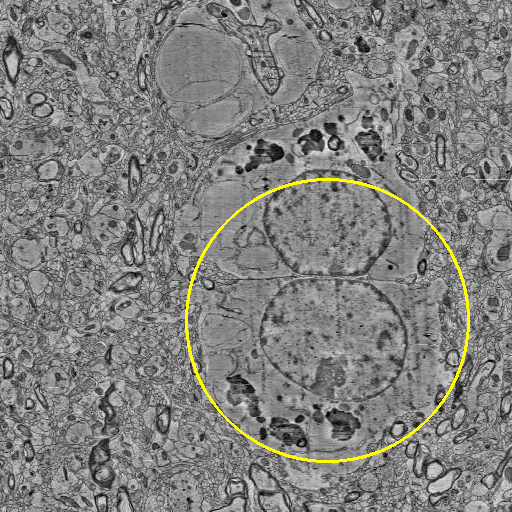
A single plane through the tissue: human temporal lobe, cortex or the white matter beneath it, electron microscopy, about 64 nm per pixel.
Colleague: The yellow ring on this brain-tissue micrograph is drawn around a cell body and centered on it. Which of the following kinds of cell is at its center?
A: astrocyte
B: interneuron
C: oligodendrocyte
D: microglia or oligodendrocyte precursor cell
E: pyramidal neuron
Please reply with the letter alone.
A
